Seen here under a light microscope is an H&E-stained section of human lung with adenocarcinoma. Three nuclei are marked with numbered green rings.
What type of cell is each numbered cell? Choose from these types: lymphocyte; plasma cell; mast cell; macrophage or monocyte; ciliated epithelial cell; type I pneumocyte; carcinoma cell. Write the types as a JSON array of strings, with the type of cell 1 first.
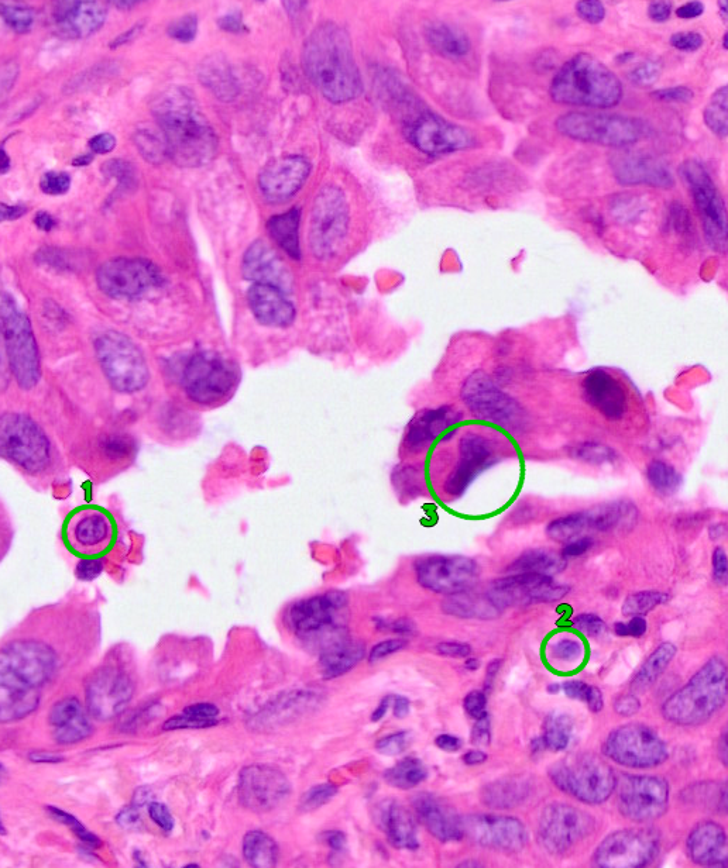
["macrophage or monocyte", "lymphocyte", "carcinoma cell"]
